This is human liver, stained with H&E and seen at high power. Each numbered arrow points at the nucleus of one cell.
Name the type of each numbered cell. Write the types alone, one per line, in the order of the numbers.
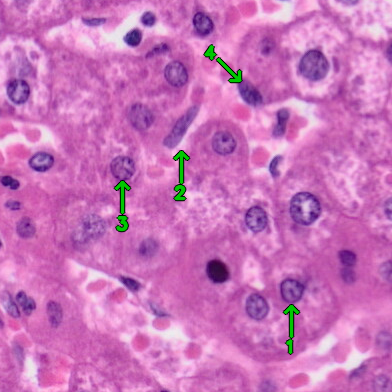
hepatocyte
Kupffer cell
hepatocyte
fibroblast or stellate cell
